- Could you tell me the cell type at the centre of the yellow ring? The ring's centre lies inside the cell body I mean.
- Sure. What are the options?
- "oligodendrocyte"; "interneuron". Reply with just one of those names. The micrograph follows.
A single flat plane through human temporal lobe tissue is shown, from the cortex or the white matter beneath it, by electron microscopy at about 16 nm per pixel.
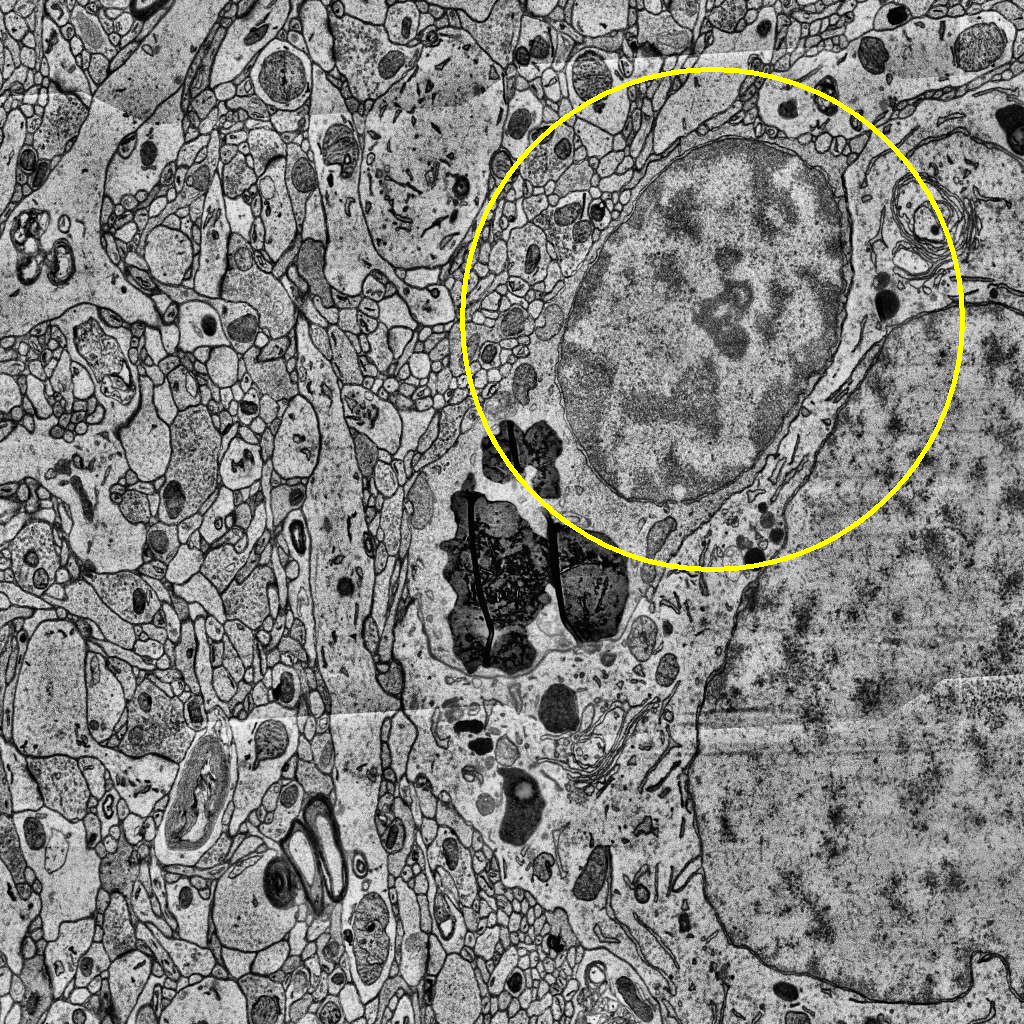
oligodendrocyte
